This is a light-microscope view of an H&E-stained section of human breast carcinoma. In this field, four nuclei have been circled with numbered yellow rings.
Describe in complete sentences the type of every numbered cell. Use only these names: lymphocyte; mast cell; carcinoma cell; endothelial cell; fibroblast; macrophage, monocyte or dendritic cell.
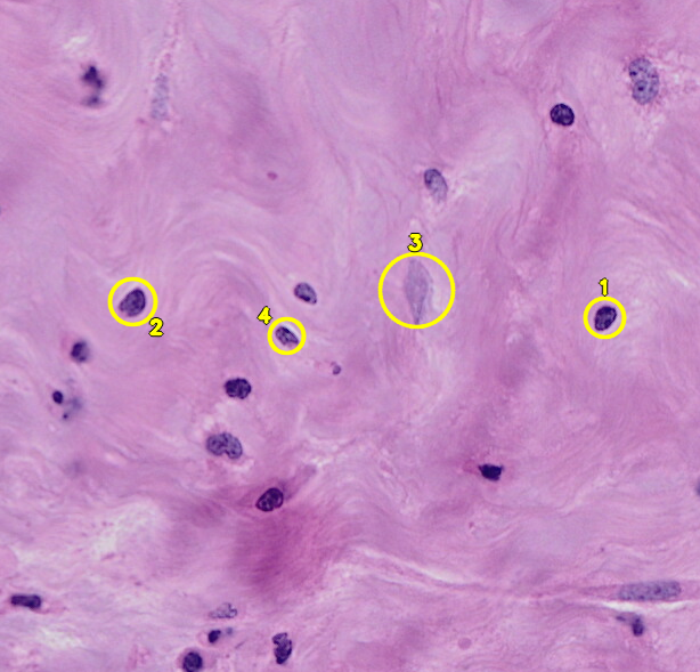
Cells 1, 2 and 4 are lymphocytes. Cell 3 is a fibroblast.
